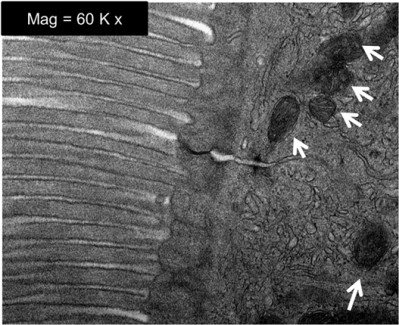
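On the left a dense row of long, parallel, finger-like microvilli forms a brush border. The cytoplasm to the right is finely granular with small membranous profiles. Several oval, dark, membrane-bound mitochondria with internal folded membranes lie in the upper right and lower right of the cytoplasm.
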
